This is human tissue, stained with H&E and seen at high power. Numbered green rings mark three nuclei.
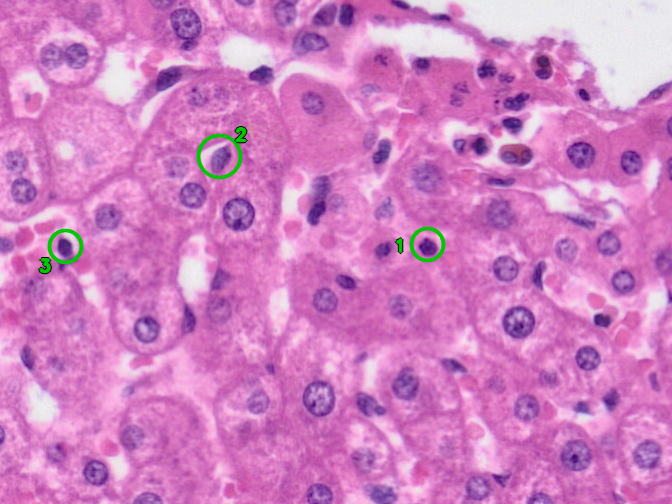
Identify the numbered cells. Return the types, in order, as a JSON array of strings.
["lymphocyte", "Kupffer cell", "lymphocyte"]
